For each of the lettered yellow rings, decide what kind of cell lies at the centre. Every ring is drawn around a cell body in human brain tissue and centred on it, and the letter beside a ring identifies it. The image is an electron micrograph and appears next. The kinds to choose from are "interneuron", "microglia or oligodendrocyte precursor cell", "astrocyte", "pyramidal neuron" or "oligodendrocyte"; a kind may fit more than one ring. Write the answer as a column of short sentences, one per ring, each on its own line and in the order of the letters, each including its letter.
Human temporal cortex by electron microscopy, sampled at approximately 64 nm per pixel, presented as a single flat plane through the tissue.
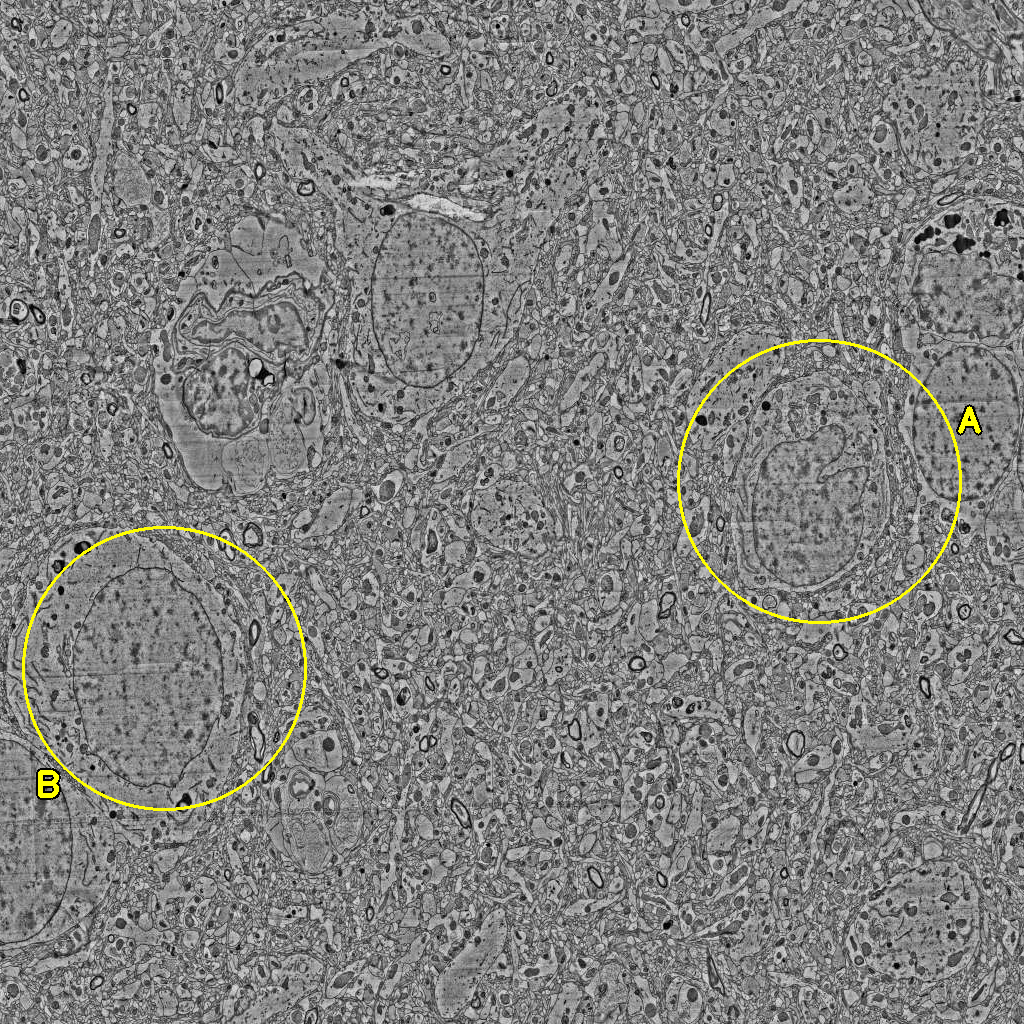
In the centre of ring A lies an interneuron.
In the centre of ring B lies a pyramidal neuron.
